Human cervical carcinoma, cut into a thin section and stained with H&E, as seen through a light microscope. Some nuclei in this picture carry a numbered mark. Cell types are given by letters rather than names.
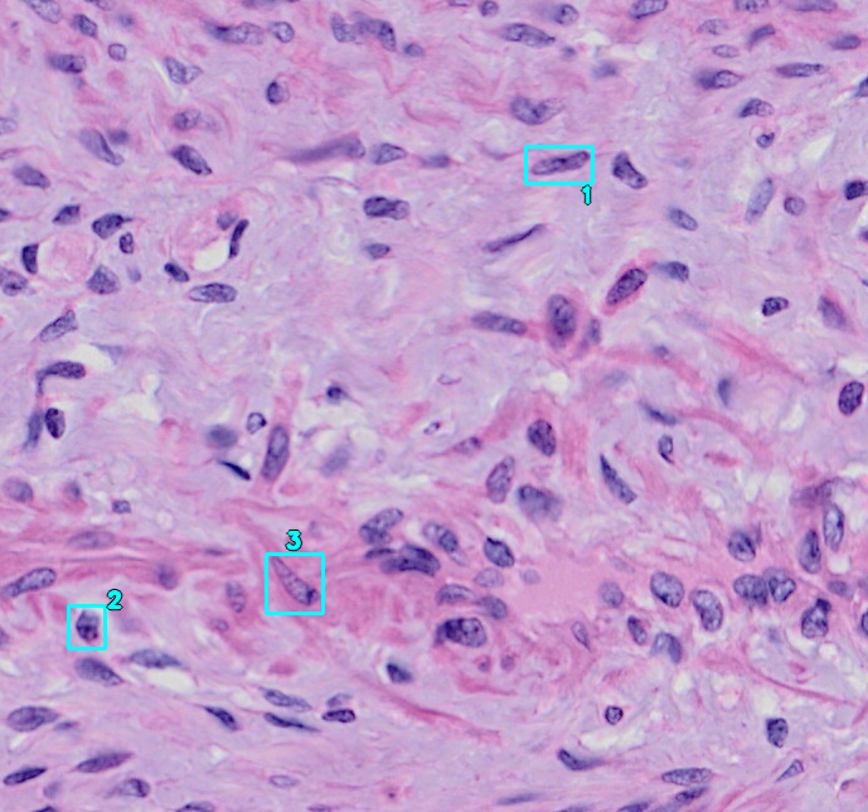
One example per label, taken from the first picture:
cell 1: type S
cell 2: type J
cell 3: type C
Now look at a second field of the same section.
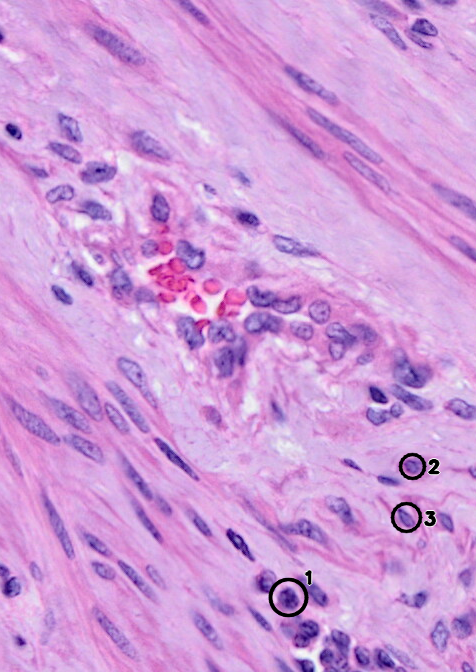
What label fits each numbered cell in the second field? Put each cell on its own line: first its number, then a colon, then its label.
1: type J
2: type C
3: type C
